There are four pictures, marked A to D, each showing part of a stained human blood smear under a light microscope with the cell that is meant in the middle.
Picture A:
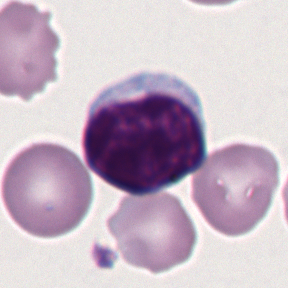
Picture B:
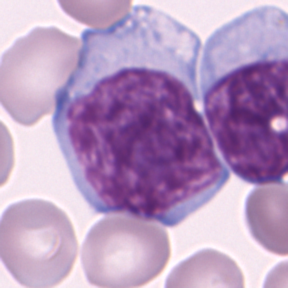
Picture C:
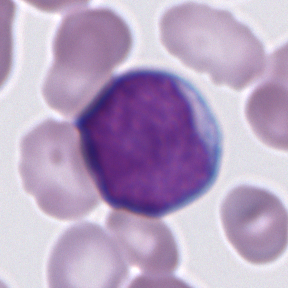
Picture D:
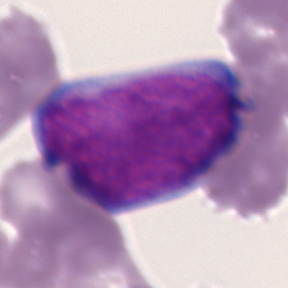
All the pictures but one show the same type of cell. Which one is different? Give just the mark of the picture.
A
